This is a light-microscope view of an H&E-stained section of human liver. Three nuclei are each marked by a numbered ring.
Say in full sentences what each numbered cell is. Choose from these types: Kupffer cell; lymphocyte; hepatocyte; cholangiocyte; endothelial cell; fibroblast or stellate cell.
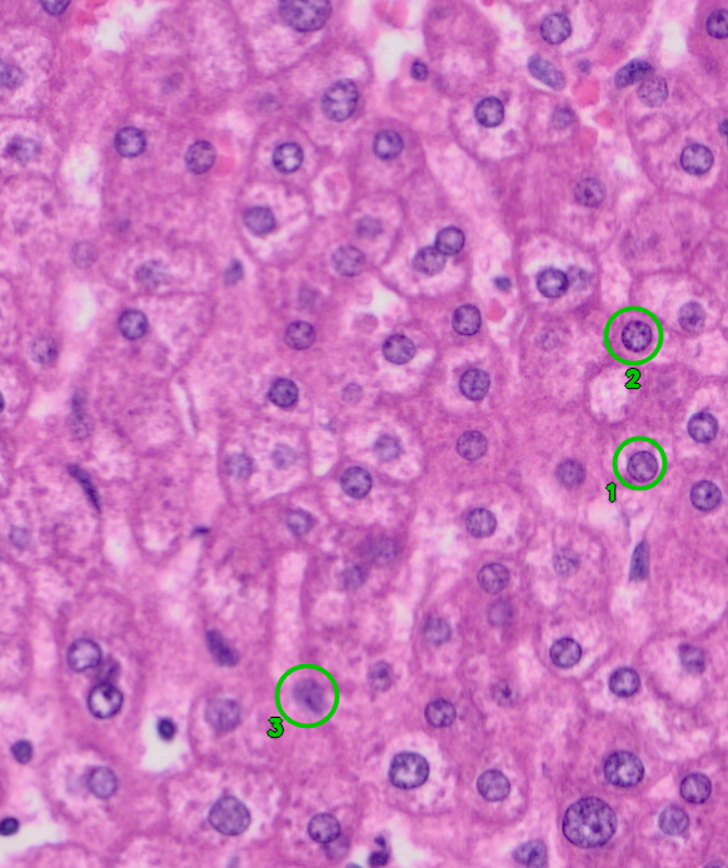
Cell 1 is a hepatocyte, cell 2 is a hepatocyte and cell 3 is an endothelial cell.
